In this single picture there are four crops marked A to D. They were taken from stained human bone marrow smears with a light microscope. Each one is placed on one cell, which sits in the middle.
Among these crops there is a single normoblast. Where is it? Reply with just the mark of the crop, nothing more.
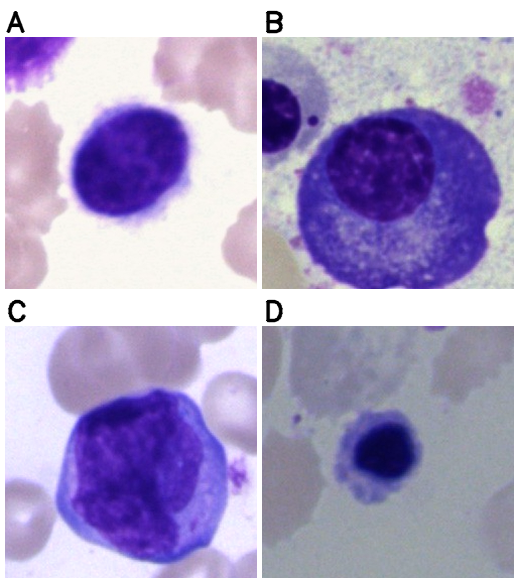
D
